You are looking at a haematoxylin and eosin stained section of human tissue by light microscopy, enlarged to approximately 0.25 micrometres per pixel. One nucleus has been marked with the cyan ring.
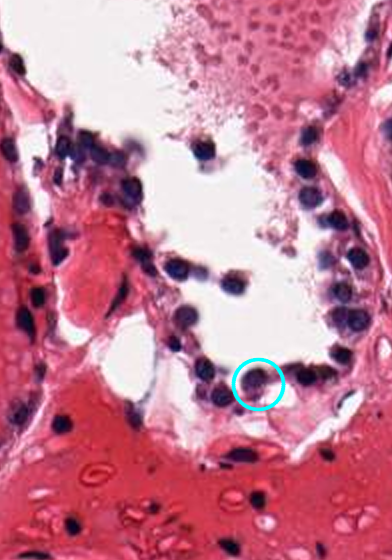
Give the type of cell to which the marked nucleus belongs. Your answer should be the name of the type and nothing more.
thyroid follicular cell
